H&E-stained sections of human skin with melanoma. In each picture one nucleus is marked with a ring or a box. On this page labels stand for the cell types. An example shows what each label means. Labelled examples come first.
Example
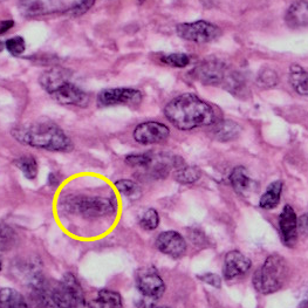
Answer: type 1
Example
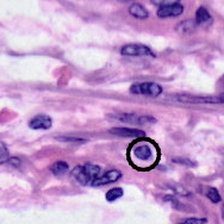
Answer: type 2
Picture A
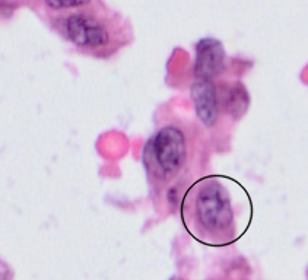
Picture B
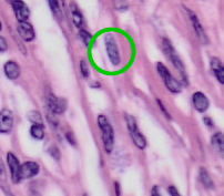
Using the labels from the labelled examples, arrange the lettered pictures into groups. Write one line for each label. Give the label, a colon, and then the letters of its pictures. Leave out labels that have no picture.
type 1: A
type 2: B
